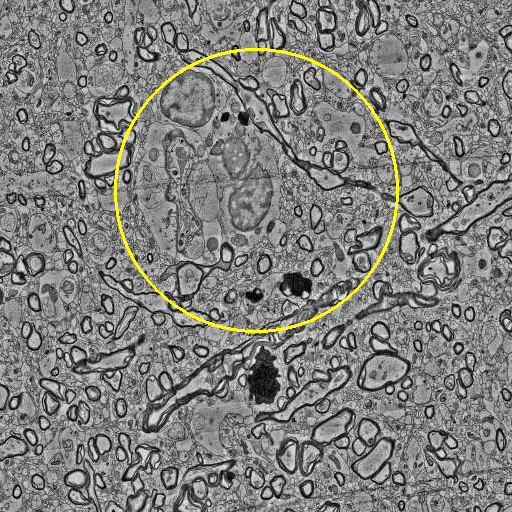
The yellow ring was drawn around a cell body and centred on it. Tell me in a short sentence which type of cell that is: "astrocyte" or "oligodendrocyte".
The cell at the ring's centre is an oligodendrocyte.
